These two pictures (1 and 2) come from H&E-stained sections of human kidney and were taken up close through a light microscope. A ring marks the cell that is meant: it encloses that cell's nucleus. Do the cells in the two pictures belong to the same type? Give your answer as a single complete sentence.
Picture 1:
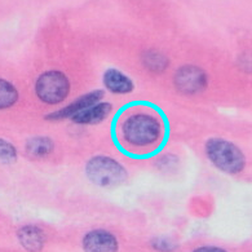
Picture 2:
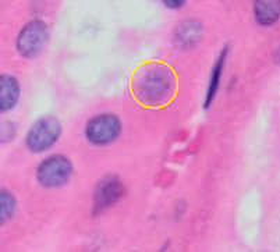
Yes, they are the same type: both are “loop of Henle or distal tubule cells”.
